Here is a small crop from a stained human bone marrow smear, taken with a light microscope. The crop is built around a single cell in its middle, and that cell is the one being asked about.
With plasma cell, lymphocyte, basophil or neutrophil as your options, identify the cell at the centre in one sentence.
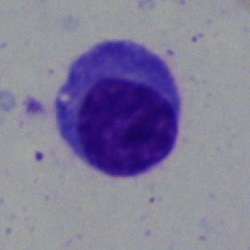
What sits at the centre of this crop is a plasma cell.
